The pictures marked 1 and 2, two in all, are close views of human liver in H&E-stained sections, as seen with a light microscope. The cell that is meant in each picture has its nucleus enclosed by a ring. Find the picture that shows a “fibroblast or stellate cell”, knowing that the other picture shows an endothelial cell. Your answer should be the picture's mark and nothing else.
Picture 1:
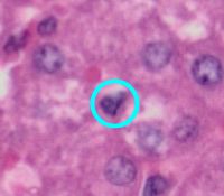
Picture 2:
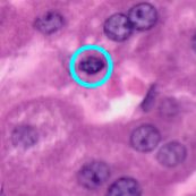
2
